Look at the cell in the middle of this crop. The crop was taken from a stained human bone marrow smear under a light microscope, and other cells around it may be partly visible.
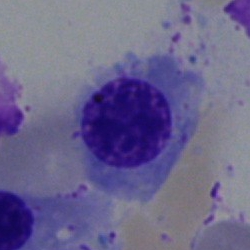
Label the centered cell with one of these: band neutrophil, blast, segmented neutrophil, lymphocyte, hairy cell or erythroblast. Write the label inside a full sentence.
The identification for the central cell is an erythroblast.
